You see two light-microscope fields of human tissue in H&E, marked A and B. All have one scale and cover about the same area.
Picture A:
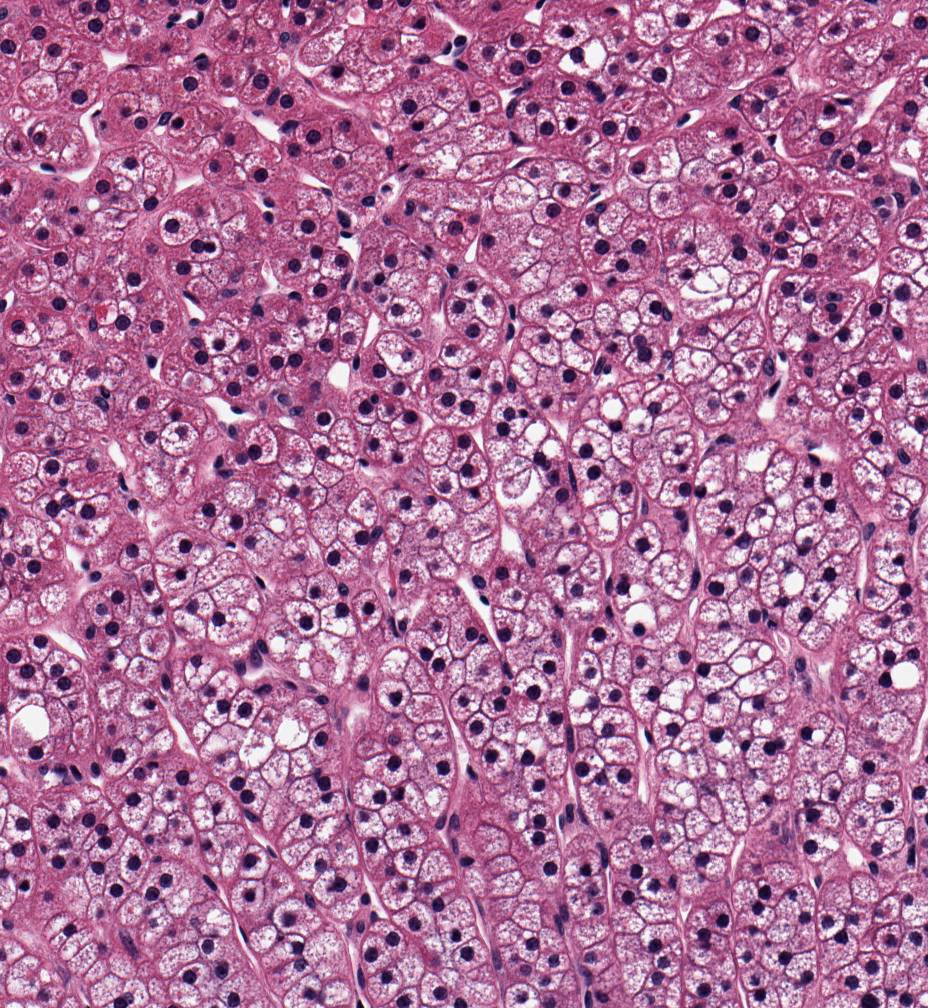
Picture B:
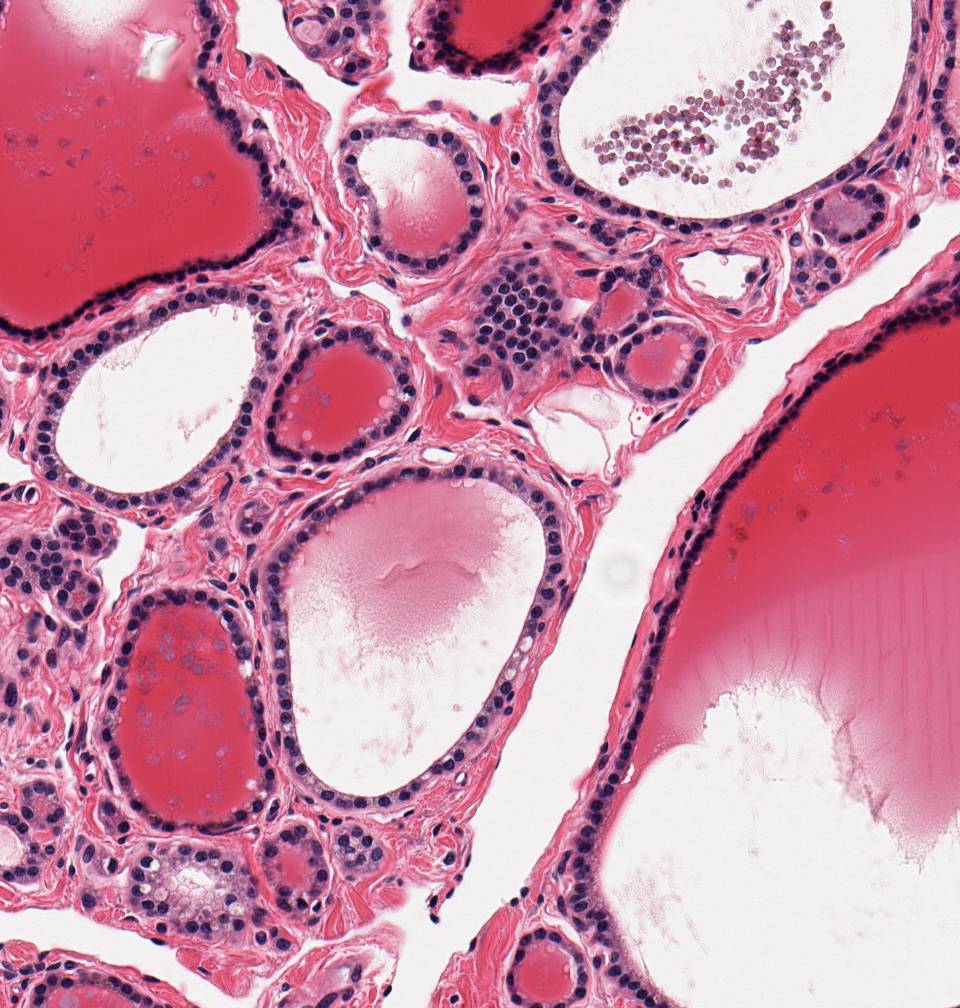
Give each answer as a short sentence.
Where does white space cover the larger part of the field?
Picture B has more white space.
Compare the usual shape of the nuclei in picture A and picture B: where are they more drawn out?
The nuclei are more elongated in picture B.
